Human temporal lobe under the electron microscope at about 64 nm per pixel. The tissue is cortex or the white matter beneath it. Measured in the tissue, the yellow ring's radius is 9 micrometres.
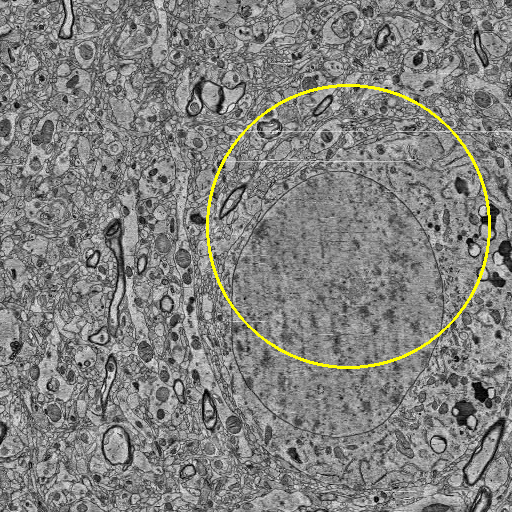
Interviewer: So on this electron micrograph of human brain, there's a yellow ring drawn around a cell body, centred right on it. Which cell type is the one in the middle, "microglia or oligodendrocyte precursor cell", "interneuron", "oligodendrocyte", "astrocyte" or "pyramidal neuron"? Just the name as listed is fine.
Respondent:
pyramidal neuron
